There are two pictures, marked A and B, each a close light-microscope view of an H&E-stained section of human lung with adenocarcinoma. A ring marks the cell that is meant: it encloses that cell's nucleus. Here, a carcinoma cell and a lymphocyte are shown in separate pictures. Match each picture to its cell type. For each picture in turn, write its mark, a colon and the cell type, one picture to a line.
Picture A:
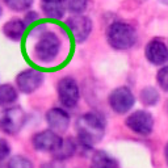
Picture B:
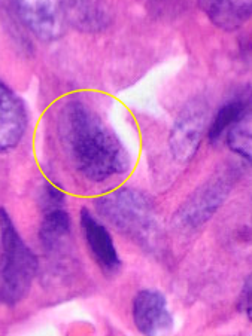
A: lymphocyte
B: carcinoma cell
